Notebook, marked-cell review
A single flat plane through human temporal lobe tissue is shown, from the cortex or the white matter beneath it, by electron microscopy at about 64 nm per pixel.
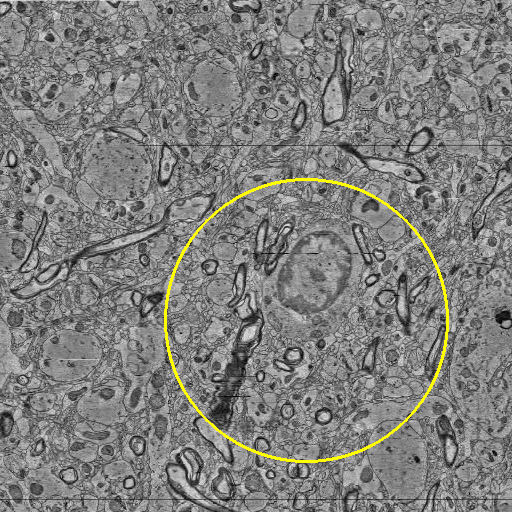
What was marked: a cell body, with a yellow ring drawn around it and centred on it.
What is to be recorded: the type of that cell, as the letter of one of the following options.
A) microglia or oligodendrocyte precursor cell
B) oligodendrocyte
B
